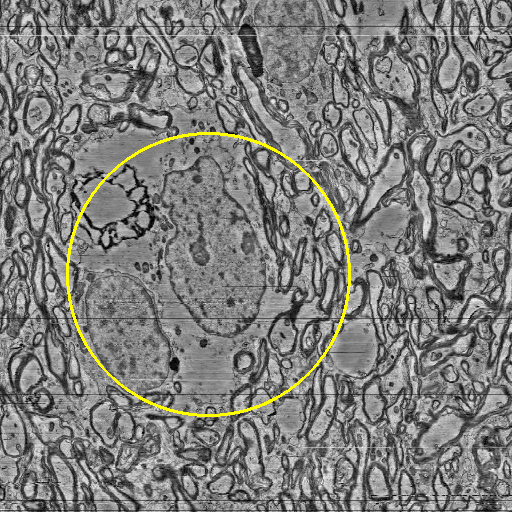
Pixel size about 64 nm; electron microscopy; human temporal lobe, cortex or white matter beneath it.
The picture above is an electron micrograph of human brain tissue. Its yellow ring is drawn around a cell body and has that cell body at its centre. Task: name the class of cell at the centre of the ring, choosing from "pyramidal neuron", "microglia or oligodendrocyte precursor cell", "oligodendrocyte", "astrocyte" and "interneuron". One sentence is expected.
The ring surrounds the body of an astrocyte.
